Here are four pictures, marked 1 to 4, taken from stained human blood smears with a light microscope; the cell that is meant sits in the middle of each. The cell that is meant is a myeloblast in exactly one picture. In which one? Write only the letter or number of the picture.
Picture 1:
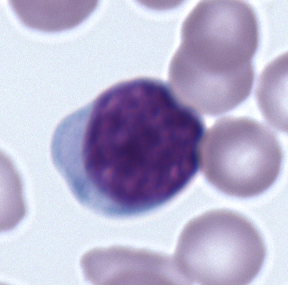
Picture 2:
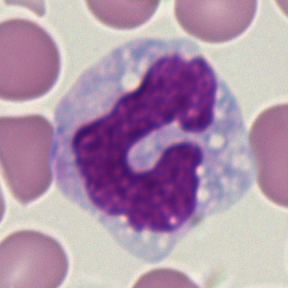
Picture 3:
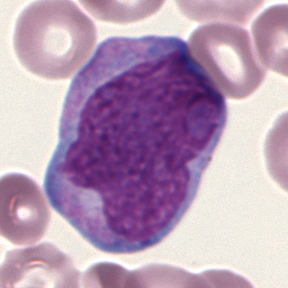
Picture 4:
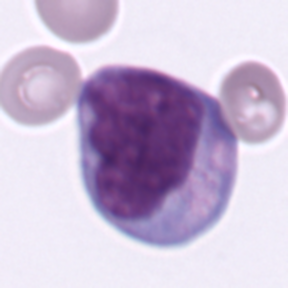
1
